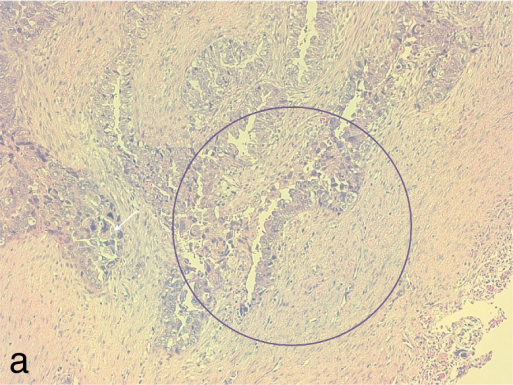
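Strands and nests of epithelial tumour cells are seen infiltrating a pale fibrous stroma, lining irregular branching slit-like lumina. The cells have enlarged, variably shaped nuclei and uneven size from one to another. This is an infiltrative carcinoma with glandular architecture and marked cellular atypia.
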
